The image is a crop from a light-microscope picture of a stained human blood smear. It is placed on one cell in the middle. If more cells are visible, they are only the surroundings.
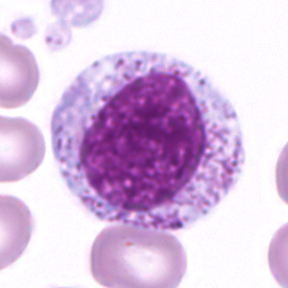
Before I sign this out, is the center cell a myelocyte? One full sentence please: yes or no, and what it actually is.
Yes, the cell that lies centrally is a myelocyte.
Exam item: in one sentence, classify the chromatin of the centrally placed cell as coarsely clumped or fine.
You can see that its chromatin is coarsely clumped.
